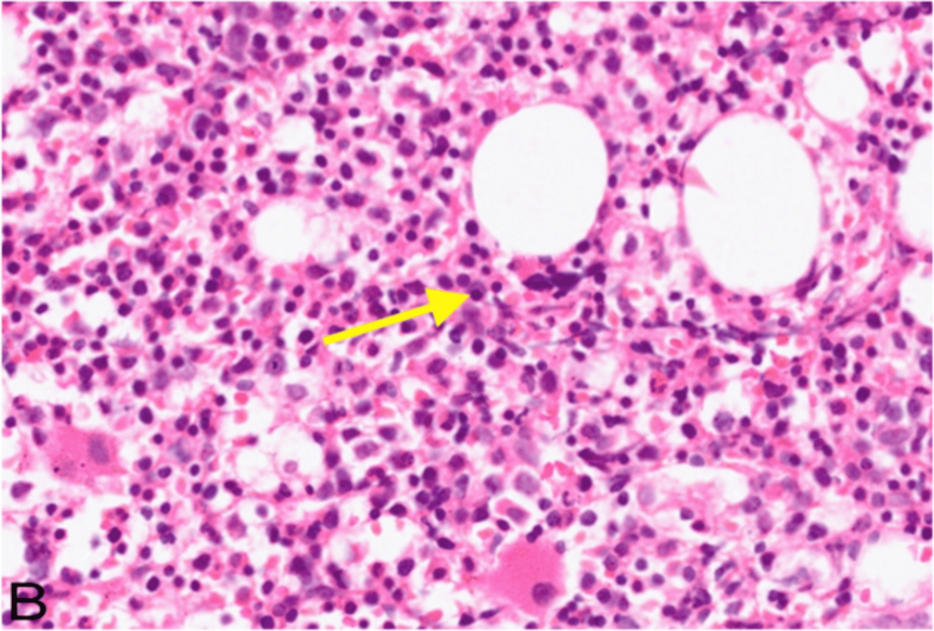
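Bone marrow in which many plasma cells lie densely packed between round empty fat spaces. A few large cells with abundant pink cytoplasm, the megakaryocytes, are scattered among them.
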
